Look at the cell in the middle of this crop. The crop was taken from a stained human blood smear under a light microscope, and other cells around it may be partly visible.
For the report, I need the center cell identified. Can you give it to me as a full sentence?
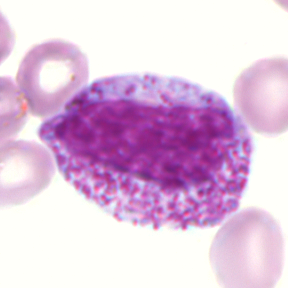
In the centre of this crop there is a myelocyte.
